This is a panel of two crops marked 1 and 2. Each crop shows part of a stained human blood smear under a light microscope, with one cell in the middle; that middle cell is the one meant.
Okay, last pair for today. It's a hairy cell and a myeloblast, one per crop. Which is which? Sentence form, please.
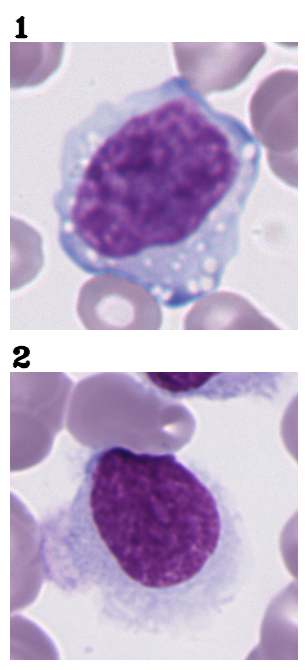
In crop 1 the cell is a myeloblast, while in crop 2 it is a hairy cell.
